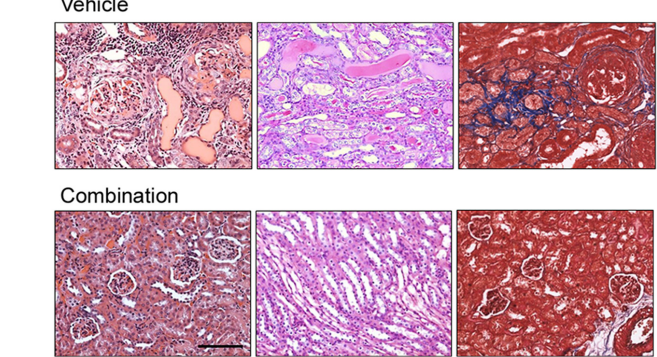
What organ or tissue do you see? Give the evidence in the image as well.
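Round glomerular tufts sit among tubules. Many tubular cross-sections with cuboidal epithelium fill the images. The answer: kidneys.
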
